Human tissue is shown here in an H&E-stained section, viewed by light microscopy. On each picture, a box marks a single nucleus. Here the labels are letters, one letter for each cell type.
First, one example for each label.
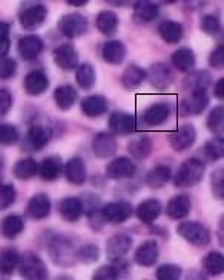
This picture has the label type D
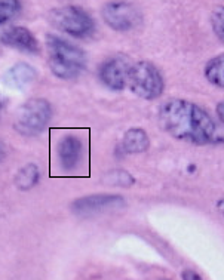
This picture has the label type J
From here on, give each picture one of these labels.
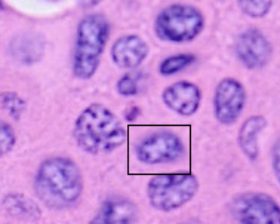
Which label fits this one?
type J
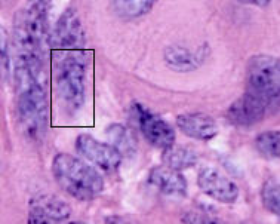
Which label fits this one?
type J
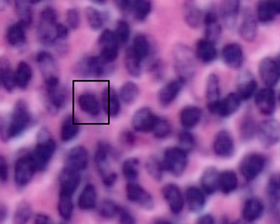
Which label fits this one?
type D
